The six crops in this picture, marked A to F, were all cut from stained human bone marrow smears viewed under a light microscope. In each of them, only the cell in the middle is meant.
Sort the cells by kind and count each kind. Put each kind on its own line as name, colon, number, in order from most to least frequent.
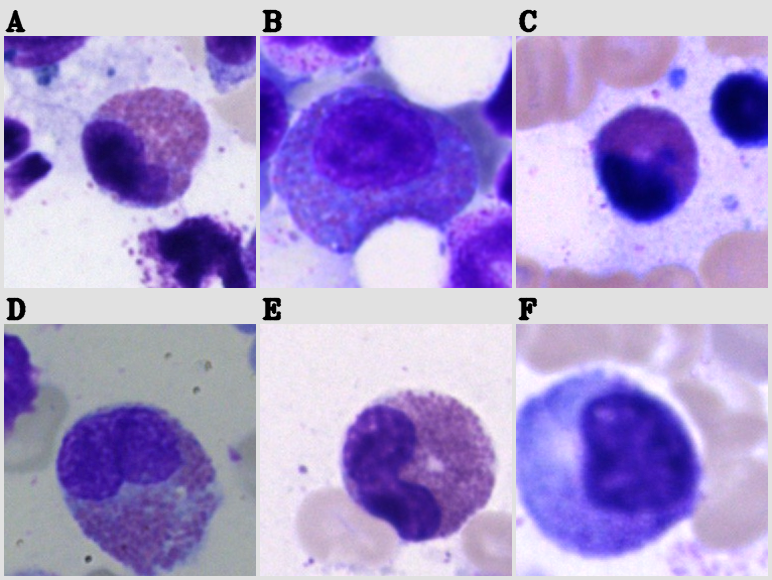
eosinophil: 4
promyelocyte: 2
